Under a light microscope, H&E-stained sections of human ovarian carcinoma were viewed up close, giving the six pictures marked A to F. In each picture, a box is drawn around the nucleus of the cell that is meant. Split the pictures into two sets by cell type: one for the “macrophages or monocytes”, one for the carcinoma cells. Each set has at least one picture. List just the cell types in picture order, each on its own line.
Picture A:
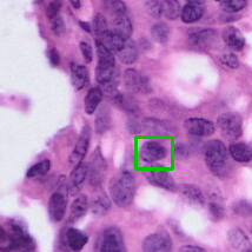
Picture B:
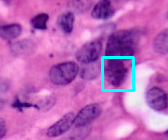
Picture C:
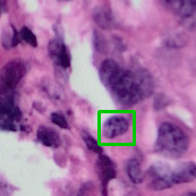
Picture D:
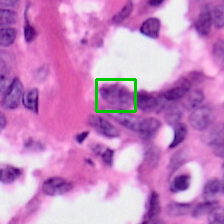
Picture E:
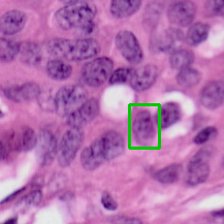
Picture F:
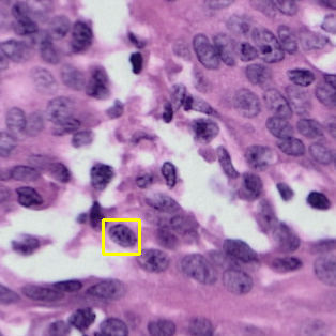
carcinoma cell
carcinoma cell
macrophage or monocyte
carcinoma cell
carcinoma cell
macrophage or monocyte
